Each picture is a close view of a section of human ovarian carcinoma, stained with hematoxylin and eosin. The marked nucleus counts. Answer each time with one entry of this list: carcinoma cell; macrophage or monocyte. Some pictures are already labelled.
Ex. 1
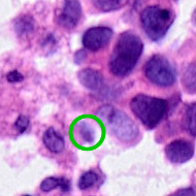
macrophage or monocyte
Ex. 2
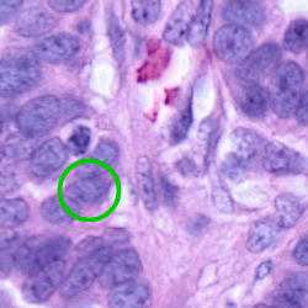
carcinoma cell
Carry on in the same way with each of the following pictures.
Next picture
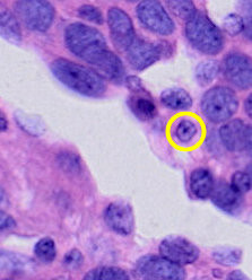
macrophage or monocyte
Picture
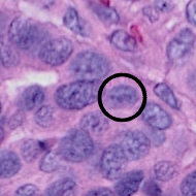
carcinoma cell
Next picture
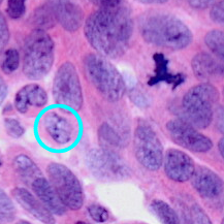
macrophage or monocyte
